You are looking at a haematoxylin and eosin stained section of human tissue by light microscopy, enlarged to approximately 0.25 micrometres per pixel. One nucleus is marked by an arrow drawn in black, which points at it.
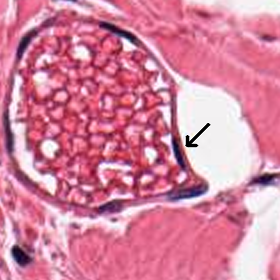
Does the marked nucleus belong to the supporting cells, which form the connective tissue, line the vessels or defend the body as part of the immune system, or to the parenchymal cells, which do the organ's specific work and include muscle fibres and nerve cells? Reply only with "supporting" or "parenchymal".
supporting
